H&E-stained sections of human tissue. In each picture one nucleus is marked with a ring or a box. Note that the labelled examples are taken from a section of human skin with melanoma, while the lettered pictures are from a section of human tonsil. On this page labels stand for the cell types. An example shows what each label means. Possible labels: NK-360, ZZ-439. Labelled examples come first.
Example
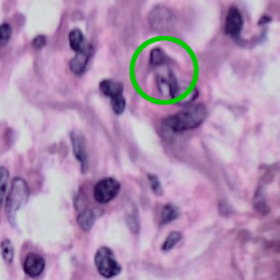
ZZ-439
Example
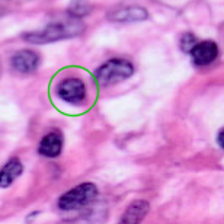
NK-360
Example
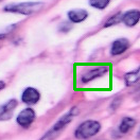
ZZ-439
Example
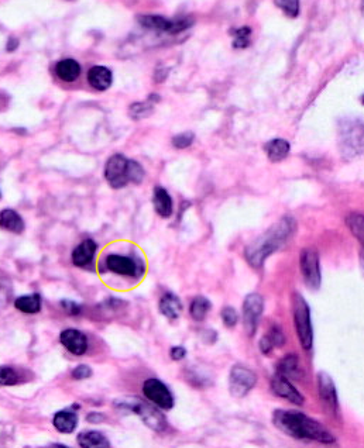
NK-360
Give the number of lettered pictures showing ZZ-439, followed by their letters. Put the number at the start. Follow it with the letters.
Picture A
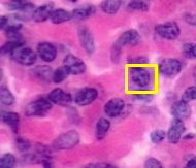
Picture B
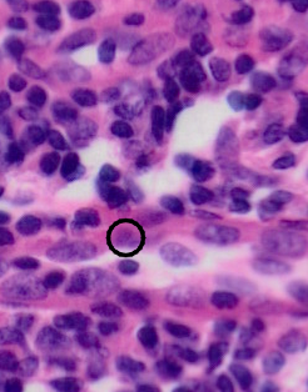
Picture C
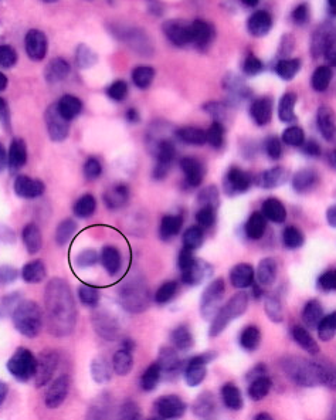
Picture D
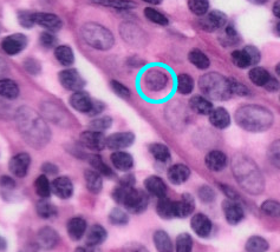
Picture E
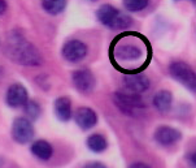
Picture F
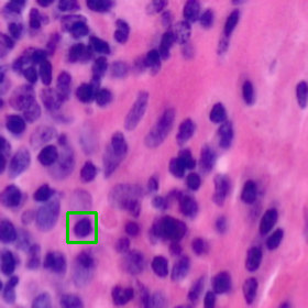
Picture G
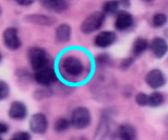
5, namely B, C, D, F, G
